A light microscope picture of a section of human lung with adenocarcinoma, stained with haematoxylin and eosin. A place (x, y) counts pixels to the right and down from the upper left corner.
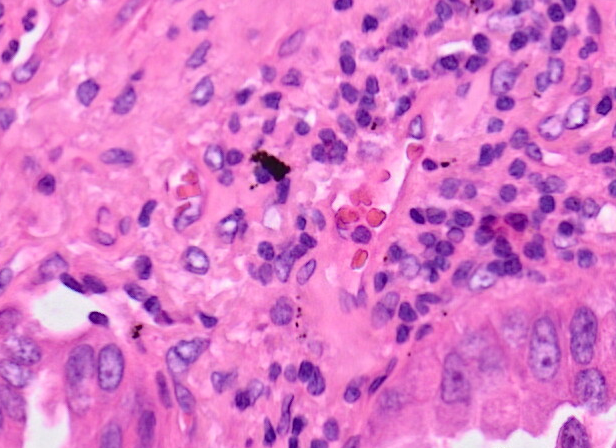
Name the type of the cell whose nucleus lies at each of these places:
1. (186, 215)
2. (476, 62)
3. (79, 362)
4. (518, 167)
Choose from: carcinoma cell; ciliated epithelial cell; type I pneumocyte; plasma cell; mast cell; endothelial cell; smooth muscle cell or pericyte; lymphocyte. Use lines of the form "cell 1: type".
cell 1: endothelial cell
cell 2: lymphocyte
cell 3: carcinoma cell
cell 4: lymphocyte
